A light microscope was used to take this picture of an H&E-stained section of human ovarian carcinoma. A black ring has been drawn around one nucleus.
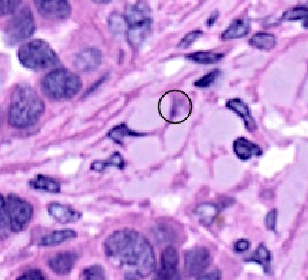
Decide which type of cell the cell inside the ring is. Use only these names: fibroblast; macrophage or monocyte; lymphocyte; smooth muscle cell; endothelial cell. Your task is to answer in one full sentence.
Labelled by cell type, the cell inside the ring is a fibroblast.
